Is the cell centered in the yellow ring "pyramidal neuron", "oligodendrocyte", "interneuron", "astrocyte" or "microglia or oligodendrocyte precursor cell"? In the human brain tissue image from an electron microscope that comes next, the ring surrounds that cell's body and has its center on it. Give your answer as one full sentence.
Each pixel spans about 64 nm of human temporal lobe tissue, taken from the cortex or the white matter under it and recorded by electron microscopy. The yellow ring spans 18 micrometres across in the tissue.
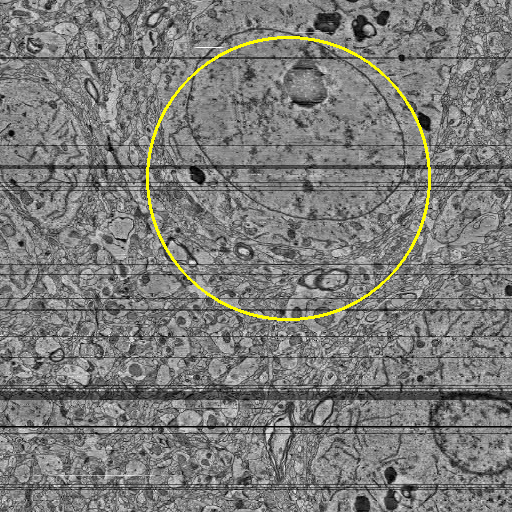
The cell at the center of the yellow ring is a pyramidal neuron in the micrograph.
